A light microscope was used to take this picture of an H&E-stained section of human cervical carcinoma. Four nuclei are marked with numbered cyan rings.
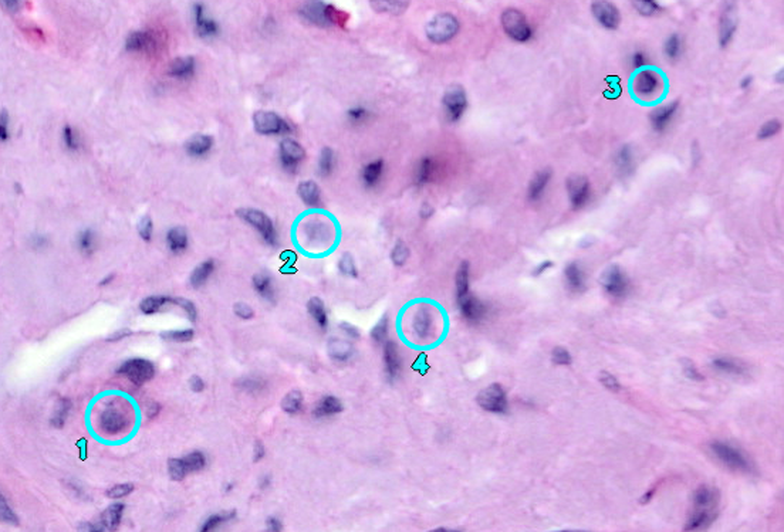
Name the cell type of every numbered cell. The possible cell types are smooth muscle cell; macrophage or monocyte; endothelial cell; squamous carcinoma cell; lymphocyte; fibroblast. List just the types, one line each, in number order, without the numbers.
endothelial cell
fibroblast
fibroblast
fibroblast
